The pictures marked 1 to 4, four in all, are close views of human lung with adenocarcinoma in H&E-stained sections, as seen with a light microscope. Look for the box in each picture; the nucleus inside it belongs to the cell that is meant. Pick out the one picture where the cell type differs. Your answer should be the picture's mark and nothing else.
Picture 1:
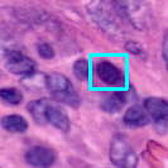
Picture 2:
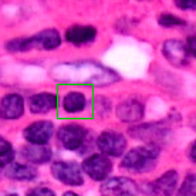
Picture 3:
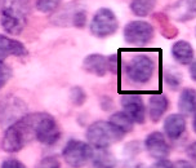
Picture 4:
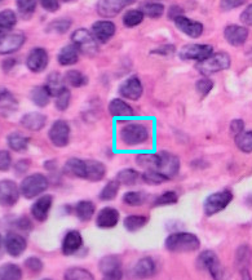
1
